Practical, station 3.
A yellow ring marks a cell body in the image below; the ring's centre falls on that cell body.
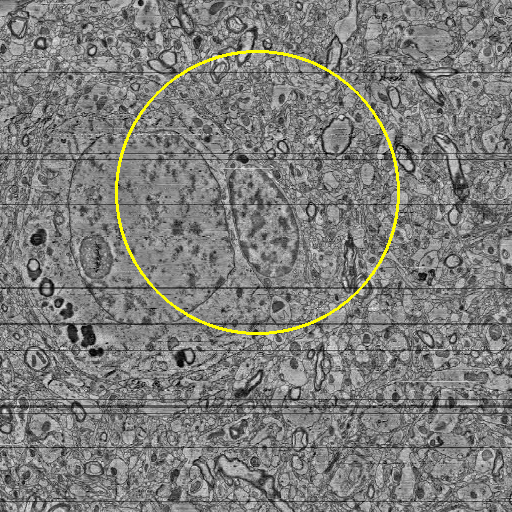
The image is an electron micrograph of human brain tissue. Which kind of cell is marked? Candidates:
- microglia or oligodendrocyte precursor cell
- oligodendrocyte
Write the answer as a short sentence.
The marked cell body is that of an oligodendrocyte.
